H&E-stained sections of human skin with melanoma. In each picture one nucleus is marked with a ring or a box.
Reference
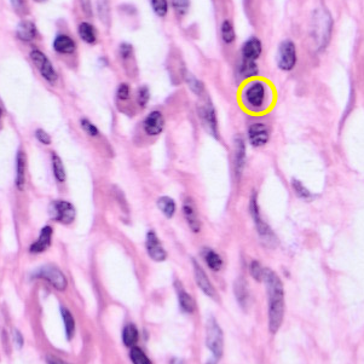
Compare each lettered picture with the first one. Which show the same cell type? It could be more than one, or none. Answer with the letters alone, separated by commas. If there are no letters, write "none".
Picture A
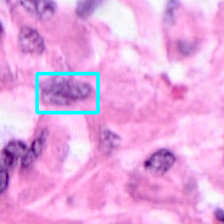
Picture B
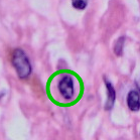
B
